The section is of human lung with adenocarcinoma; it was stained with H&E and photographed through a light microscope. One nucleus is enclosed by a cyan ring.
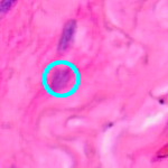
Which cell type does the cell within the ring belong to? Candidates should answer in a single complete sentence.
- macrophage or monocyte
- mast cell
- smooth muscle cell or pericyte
In this tissue sample, the cell within the ring is a smooth muscle cell or pericyte.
